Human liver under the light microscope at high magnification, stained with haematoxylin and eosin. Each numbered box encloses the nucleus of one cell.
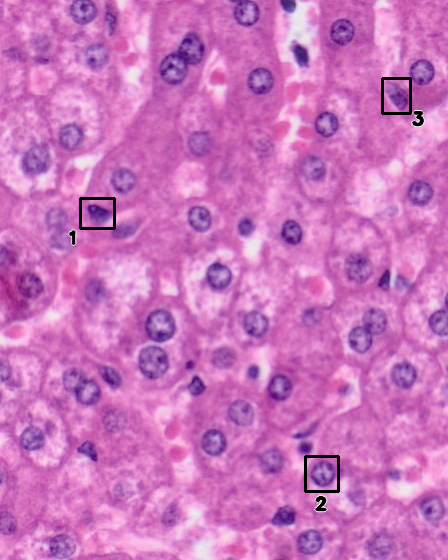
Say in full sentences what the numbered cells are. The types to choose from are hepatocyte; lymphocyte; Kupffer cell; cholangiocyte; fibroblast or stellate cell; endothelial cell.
Cell 1 is a fibroblast or stellate cell. Cell 2 is a hepatocyte. Cell 3 is a Kupffer cell.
